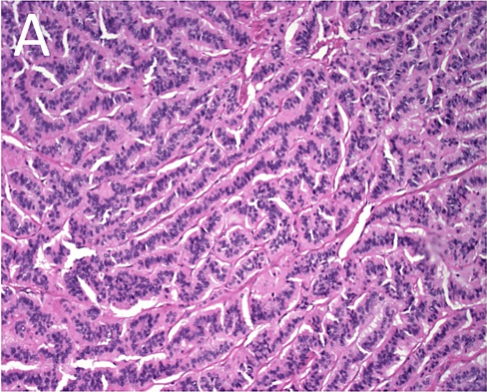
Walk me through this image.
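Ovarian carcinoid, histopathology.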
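Tumor arranged in thin ribbons and cords, seen at low magnification. Narrow bands of closely packed cells with dark purple nuclei run in roughly parallel and curving rows across the field, often two cell layers thick. Between the bands lie slit-like clear spaces and scant pink stroma. The cytoplasm forms a pink zone between the rows of nuclei.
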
